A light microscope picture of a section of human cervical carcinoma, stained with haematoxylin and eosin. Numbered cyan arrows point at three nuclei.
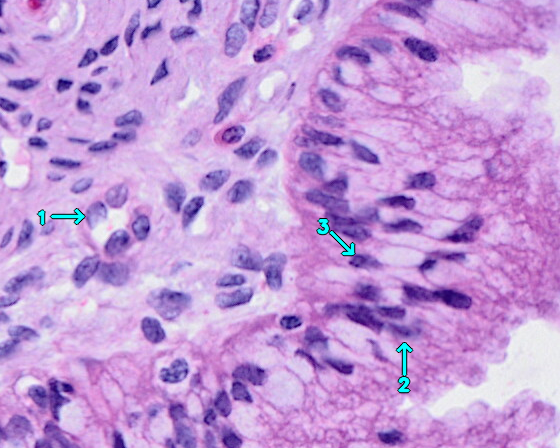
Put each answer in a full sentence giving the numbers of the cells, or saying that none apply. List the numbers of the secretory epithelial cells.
The cells shown with numbers 2 and 3 are secretory epithelial cells.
